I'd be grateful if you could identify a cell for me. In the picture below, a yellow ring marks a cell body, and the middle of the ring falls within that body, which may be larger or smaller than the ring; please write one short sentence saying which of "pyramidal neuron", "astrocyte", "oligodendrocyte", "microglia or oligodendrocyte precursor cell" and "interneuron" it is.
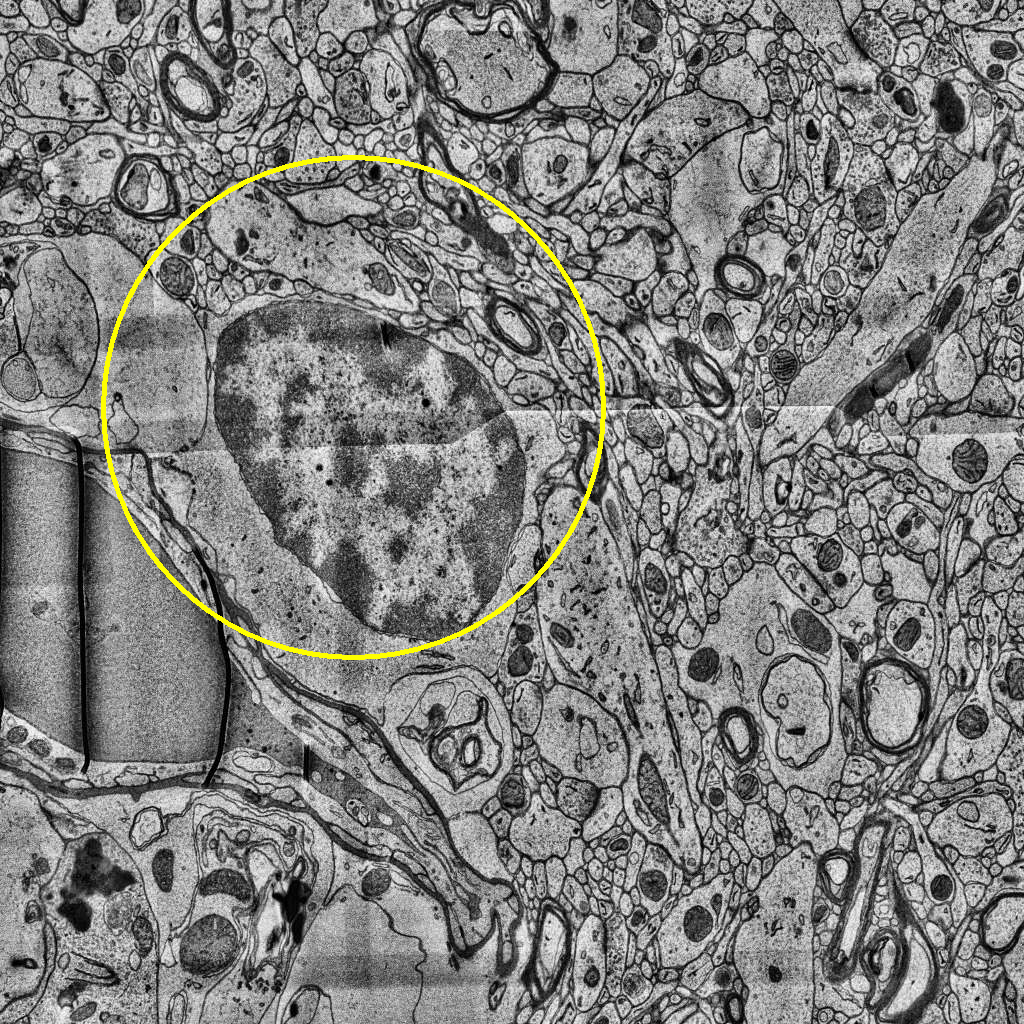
The cell under the ring's centre is a microglial cell or oligodendrocyte precursor cell.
